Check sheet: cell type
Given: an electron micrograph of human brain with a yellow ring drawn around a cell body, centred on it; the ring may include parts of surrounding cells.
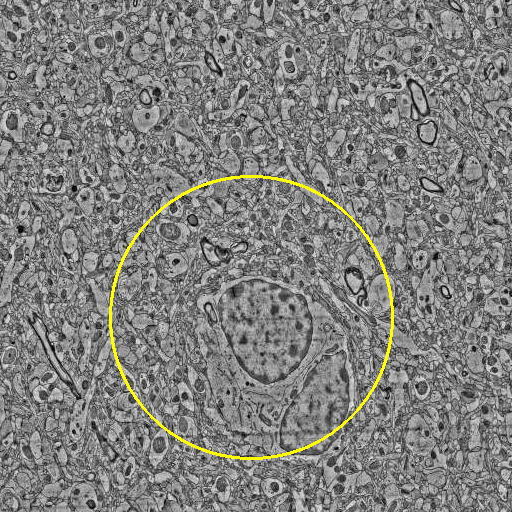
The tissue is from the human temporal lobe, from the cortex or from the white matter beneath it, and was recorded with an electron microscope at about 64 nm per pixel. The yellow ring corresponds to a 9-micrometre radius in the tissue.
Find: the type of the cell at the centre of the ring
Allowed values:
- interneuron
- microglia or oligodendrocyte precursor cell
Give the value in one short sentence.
Here the ringed cell is a microglial cell or oligodendrocyte precursor cell.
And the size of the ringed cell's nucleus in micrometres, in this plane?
The nucleus measures about 7 by 6 micrometres in this plane.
